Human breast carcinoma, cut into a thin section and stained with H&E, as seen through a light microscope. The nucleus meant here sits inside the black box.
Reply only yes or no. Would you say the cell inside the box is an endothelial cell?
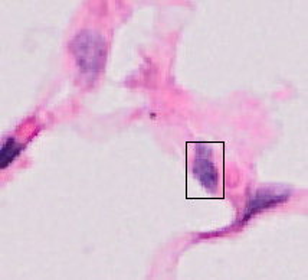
yes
